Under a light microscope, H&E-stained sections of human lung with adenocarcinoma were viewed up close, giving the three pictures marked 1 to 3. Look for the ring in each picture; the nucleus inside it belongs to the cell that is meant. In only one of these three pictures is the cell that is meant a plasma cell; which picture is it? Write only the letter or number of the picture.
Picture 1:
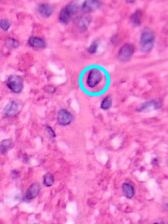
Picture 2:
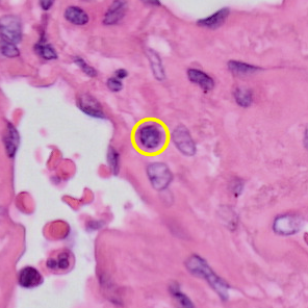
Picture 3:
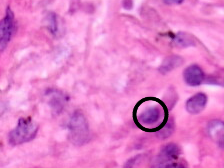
3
